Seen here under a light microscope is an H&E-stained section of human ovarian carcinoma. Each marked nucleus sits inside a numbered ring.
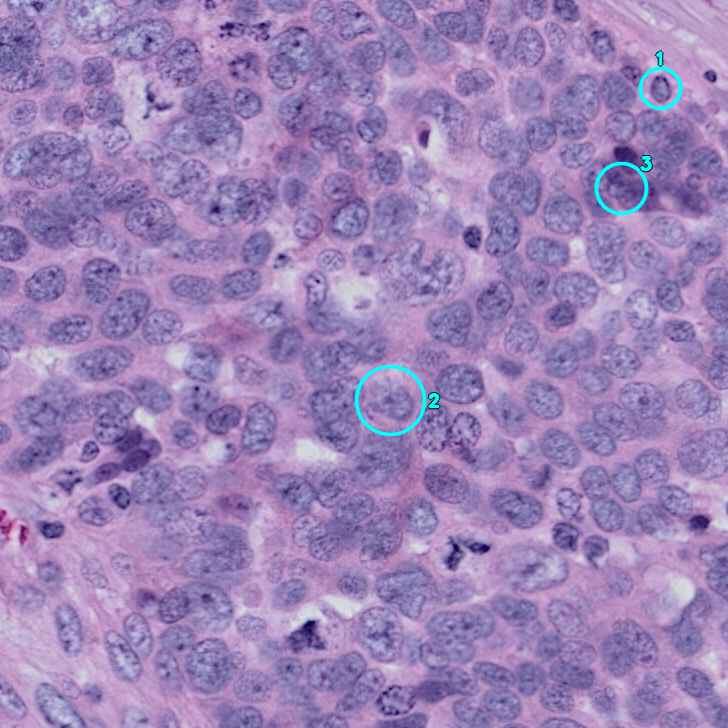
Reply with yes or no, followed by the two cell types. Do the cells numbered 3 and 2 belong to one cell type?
Yes, both are carcinoma cells.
